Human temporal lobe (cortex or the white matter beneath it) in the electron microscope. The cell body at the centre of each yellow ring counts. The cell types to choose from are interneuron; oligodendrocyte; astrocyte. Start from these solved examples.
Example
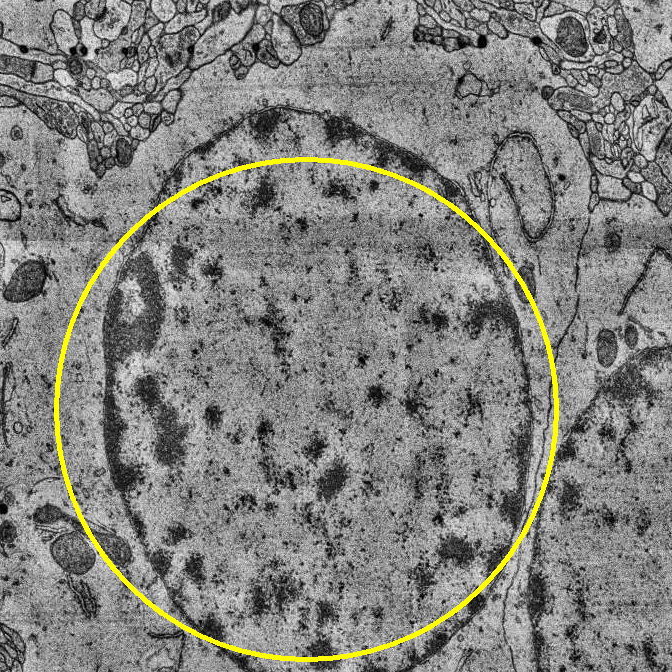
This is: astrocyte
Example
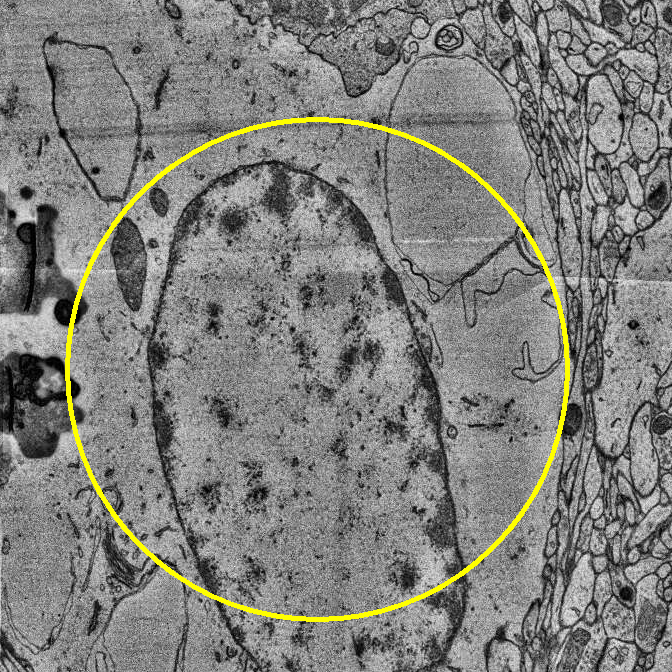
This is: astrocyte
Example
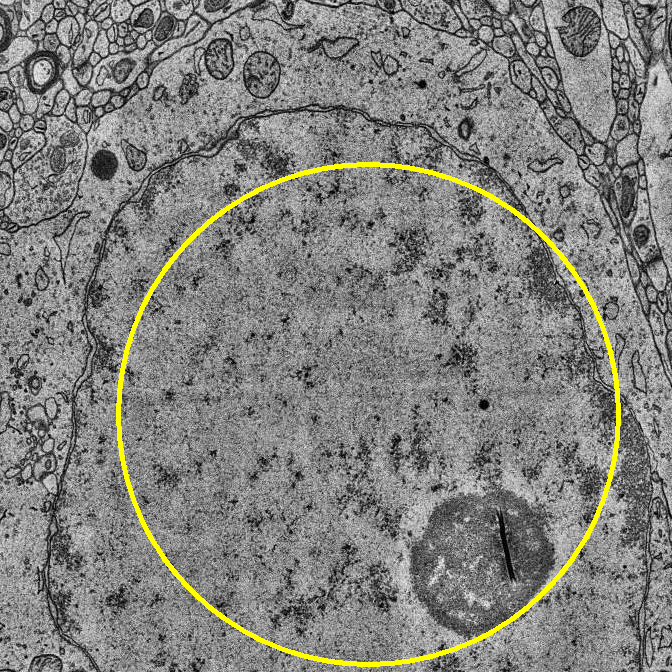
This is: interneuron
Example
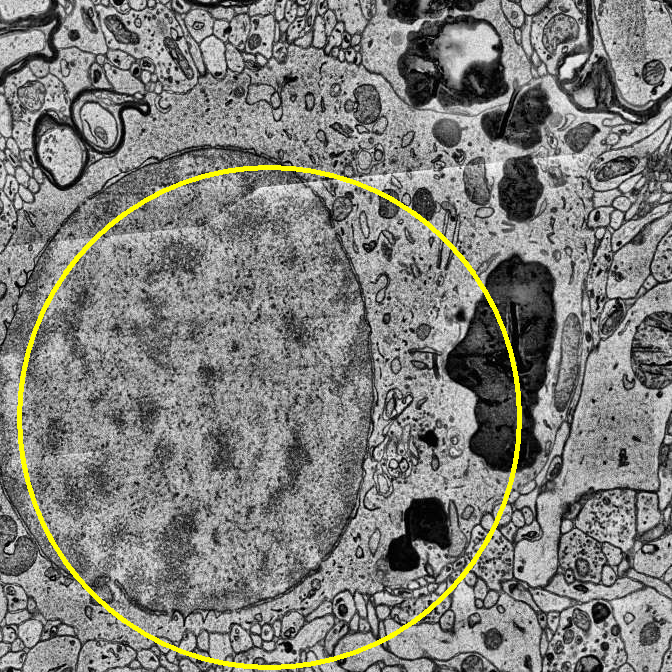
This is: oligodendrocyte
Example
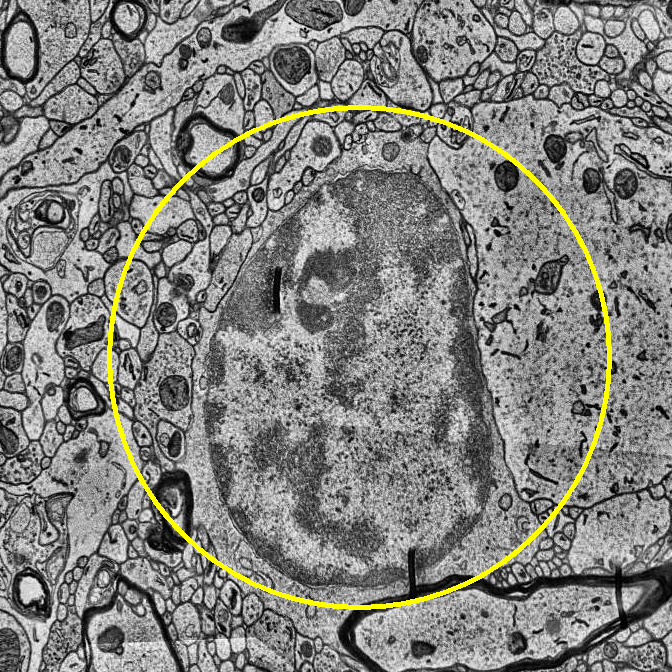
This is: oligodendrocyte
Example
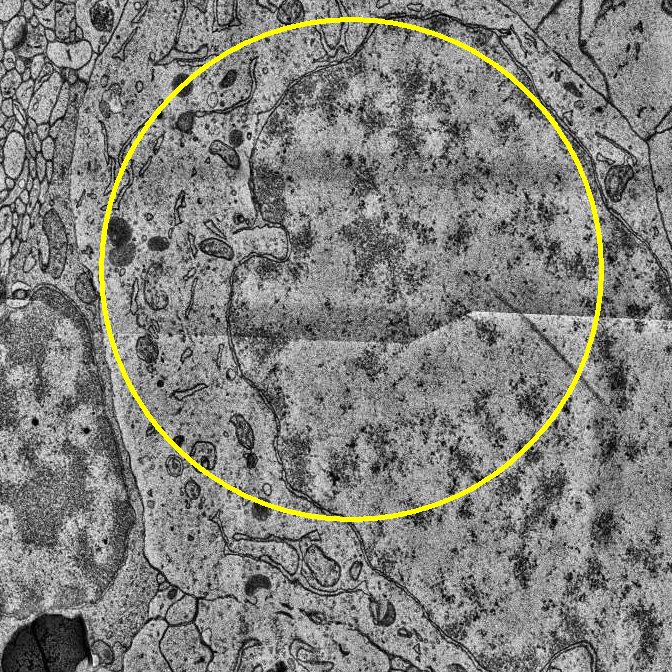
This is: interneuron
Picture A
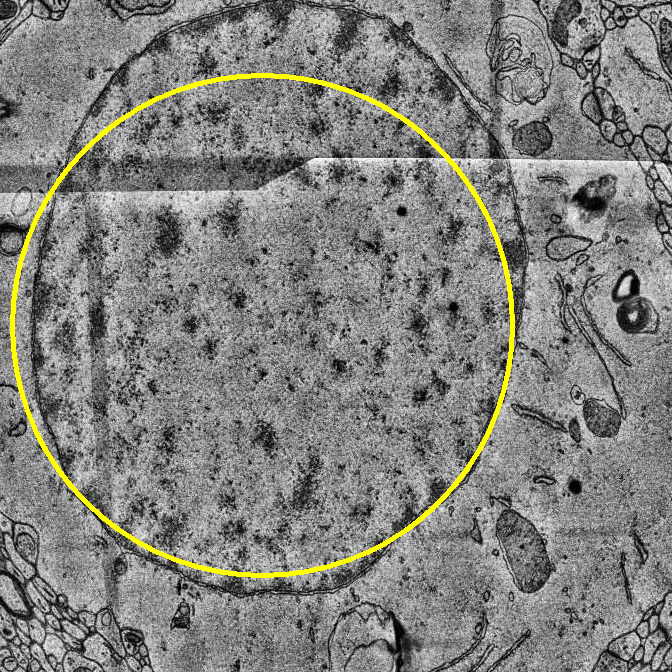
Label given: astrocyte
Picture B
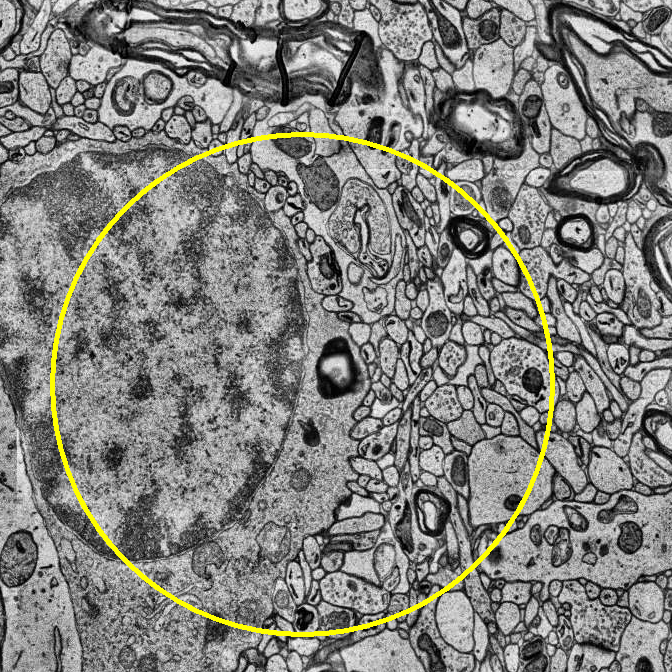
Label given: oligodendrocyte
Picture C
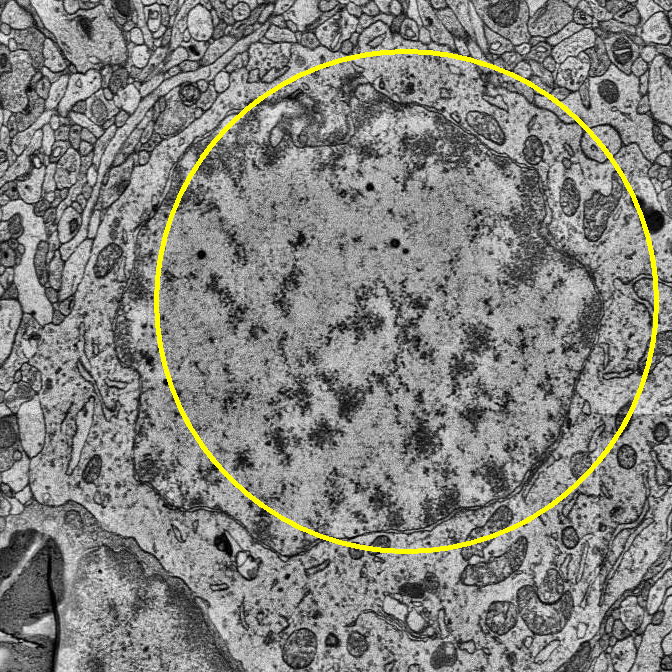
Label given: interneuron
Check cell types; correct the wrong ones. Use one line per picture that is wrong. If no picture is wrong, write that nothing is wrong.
All correct.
